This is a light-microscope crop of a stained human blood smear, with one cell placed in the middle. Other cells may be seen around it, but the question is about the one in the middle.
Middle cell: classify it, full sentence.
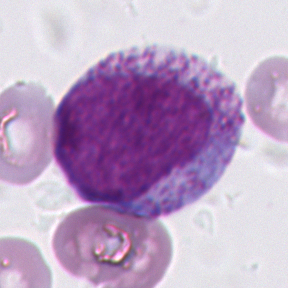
The identification for the central cell is a promyelocyte.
